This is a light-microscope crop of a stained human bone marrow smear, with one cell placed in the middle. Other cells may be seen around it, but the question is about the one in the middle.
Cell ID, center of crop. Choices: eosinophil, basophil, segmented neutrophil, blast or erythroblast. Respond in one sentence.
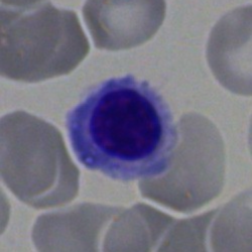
Classified as an erythroblast is the cell in the middle of this crop.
